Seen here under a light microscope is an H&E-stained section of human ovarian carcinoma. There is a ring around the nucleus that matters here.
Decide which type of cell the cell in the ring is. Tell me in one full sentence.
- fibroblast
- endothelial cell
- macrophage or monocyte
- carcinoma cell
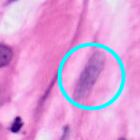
In the tissue at hand, the cell in the ring is a fibroblast.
